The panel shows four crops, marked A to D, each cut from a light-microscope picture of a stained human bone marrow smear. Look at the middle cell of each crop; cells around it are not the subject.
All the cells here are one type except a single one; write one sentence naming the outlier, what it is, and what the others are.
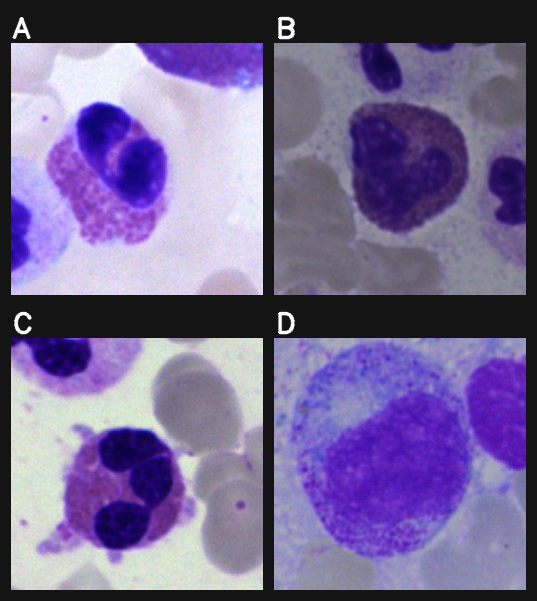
What sets crop D apart is that it is a promyelocyte; the others are all eosinophils.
